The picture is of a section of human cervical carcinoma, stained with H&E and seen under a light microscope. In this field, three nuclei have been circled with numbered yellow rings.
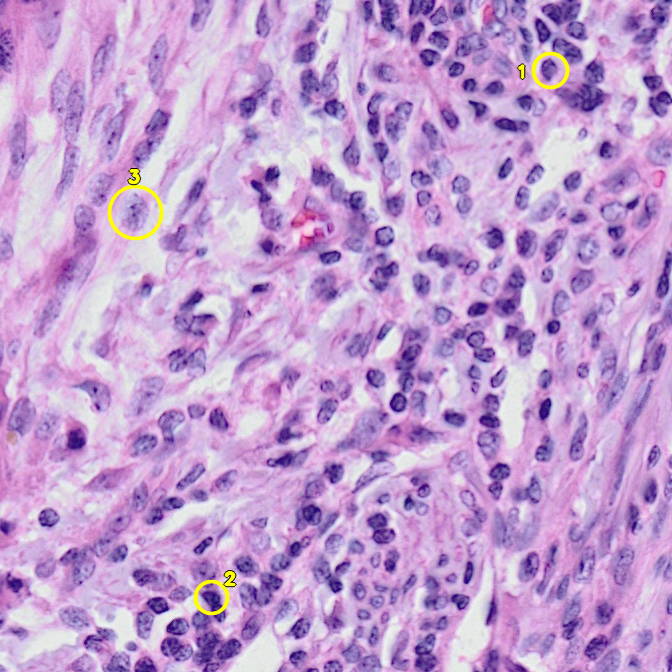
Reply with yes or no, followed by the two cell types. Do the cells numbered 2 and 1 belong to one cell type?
Yes, that cells 2 and 1 are both lymphocytes holds true.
